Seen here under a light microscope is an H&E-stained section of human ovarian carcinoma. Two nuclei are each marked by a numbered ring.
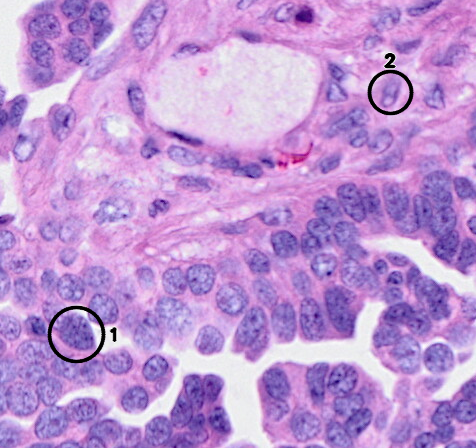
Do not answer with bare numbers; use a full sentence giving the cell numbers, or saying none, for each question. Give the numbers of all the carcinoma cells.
In contrast to the remaining marked cells, cell 1 is a carcinoma cell.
